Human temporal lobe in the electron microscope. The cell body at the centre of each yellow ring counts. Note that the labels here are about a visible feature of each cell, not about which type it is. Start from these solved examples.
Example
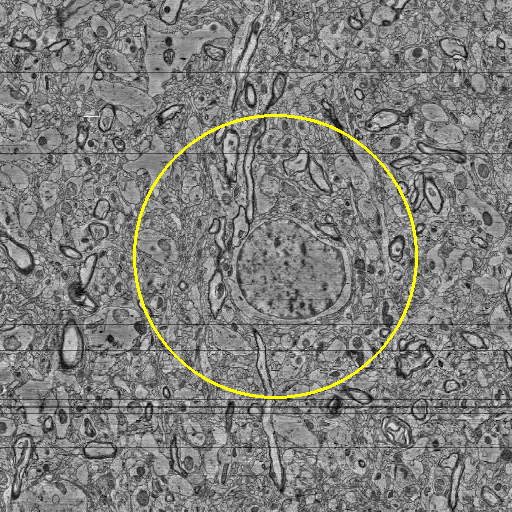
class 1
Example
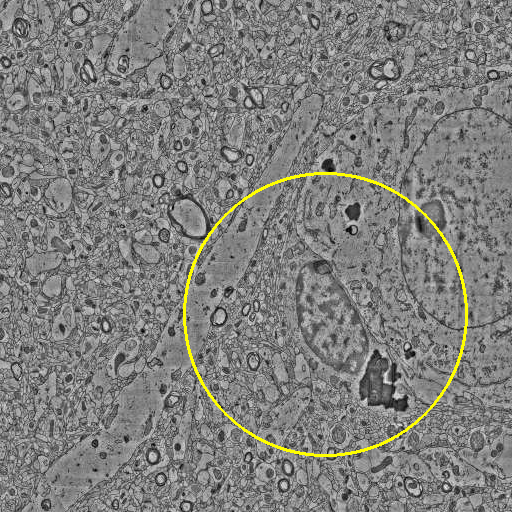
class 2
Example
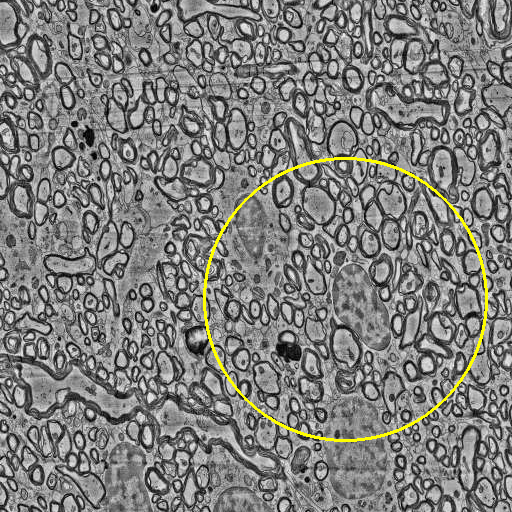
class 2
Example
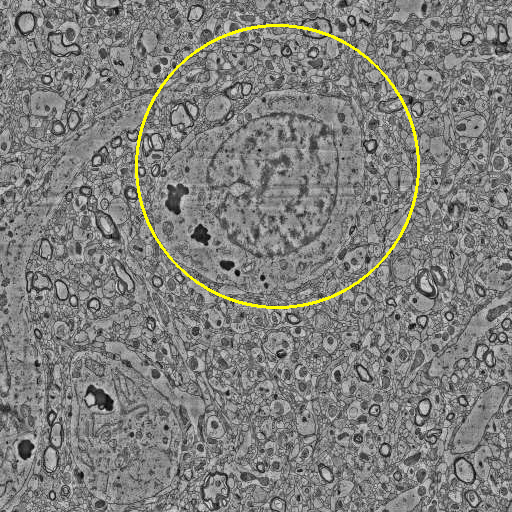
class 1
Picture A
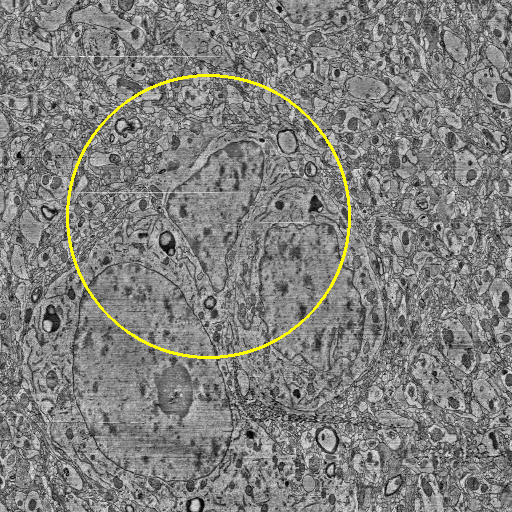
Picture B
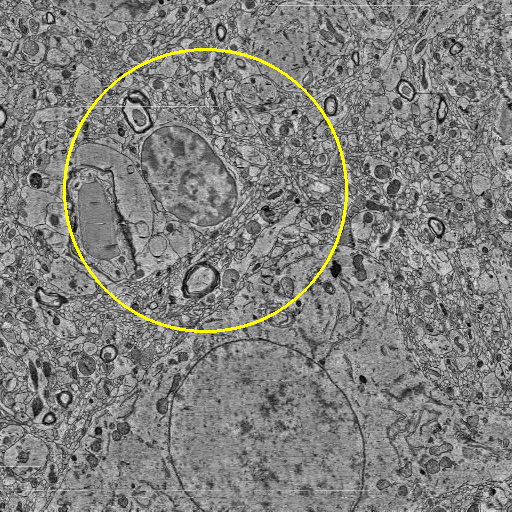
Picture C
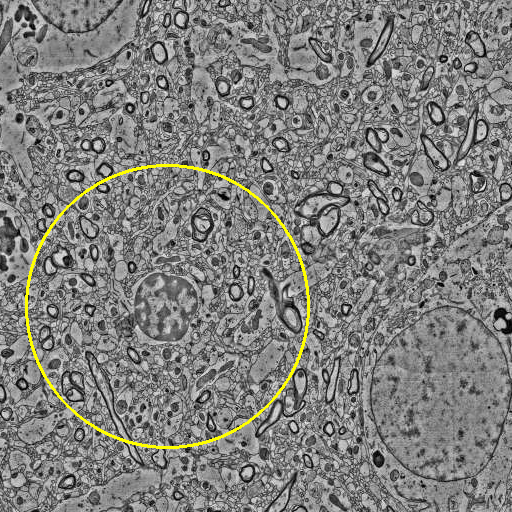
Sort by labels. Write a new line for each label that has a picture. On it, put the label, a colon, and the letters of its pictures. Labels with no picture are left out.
class 1: C
class 2: A, B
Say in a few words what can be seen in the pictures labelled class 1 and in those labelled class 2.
class 1: round or nearly round nuclei; class 2: clearly elongated nuclei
